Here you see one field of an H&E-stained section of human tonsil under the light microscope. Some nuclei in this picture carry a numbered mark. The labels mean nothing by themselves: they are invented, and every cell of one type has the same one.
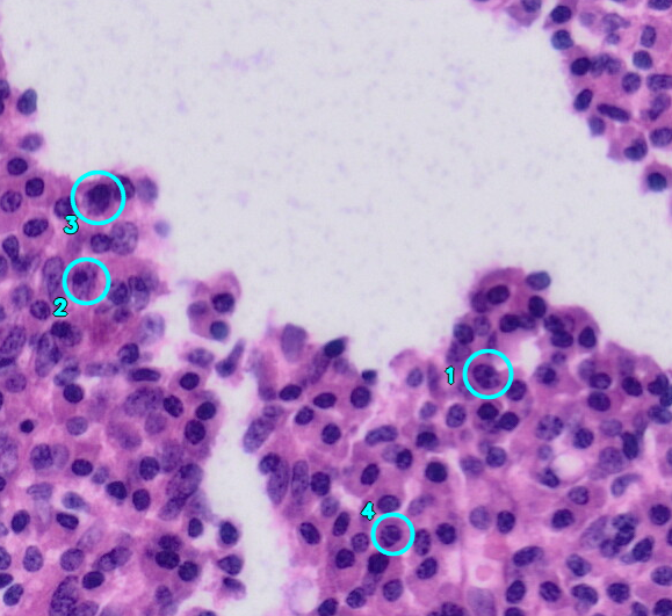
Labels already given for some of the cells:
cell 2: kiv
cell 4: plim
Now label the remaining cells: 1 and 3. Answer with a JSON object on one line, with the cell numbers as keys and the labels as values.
{"1": "plim", "3": "kiv"}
